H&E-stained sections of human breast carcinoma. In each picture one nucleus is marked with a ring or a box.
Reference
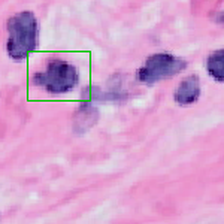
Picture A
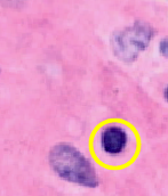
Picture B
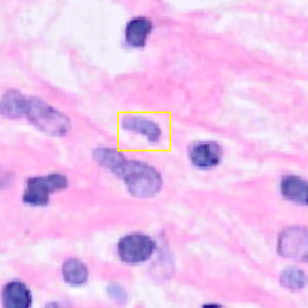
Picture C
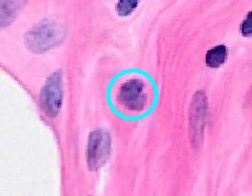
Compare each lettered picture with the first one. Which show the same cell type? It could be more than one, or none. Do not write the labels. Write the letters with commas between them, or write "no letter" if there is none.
A, B, C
